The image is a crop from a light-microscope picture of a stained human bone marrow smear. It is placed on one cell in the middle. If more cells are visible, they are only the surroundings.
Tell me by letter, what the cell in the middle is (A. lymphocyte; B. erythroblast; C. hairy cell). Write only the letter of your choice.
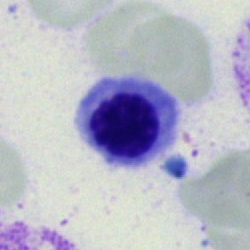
B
